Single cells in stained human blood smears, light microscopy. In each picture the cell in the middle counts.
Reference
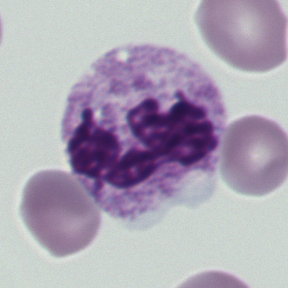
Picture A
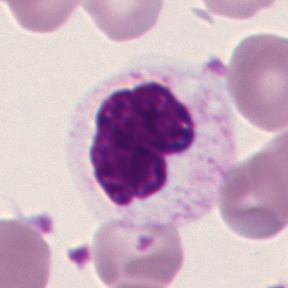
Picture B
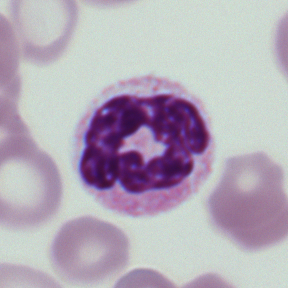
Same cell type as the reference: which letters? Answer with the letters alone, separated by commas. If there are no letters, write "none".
A, B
